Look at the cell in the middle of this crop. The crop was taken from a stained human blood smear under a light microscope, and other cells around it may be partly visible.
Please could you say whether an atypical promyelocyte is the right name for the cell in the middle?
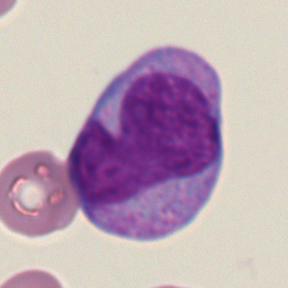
yes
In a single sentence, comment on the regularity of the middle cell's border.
No surface projections are present; the cell outline is smooth.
